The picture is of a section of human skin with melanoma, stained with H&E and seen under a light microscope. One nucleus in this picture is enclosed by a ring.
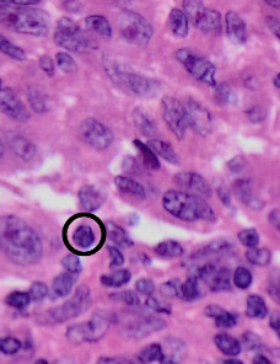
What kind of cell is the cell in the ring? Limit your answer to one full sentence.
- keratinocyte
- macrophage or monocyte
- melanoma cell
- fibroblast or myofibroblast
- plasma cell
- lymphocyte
For cell typing purposes, the cell in the ring is a lymphocyte.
